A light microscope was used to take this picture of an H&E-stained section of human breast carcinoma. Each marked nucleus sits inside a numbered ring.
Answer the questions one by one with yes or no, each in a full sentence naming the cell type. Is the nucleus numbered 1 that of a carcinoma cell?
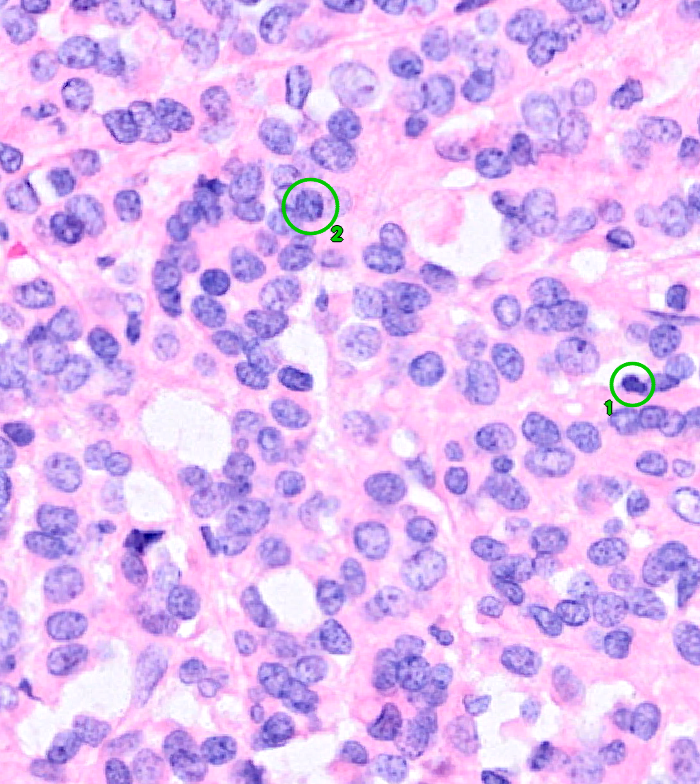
No, the cell carrying number 1 is a lymphocyte rather than a carcinoma cell.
